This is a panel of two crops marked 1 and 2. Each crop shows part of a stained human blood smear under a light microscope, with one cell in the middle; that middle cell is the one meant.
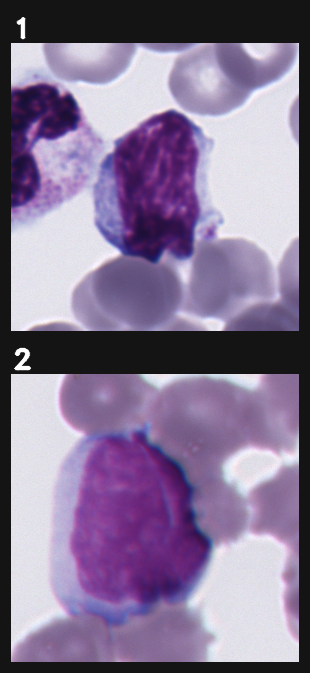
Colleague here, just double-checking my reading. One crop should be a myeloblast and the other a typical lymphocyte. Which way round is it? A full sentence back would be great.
Crop 1 represents a typical lymphocyte, while crop 2 represents a myeloblast.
